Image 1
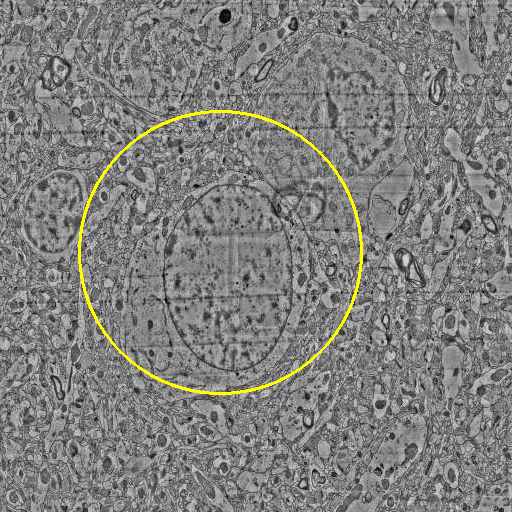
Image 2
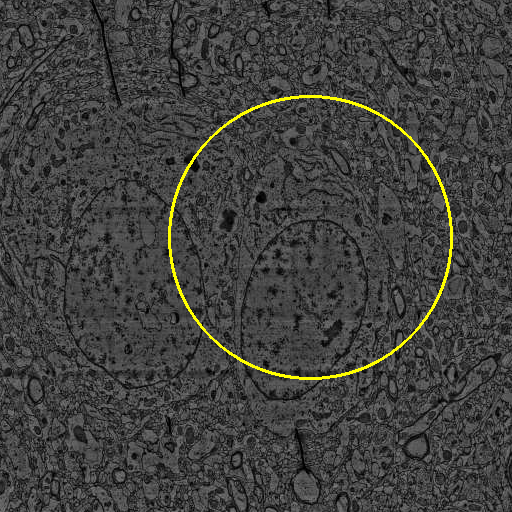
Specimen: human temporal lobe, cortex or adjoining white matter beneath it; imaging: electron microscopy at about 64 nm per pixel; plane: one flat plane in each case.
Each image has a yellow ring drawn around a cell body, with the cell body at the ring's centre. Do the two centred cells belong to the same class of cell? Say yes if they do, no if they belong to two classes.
yes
